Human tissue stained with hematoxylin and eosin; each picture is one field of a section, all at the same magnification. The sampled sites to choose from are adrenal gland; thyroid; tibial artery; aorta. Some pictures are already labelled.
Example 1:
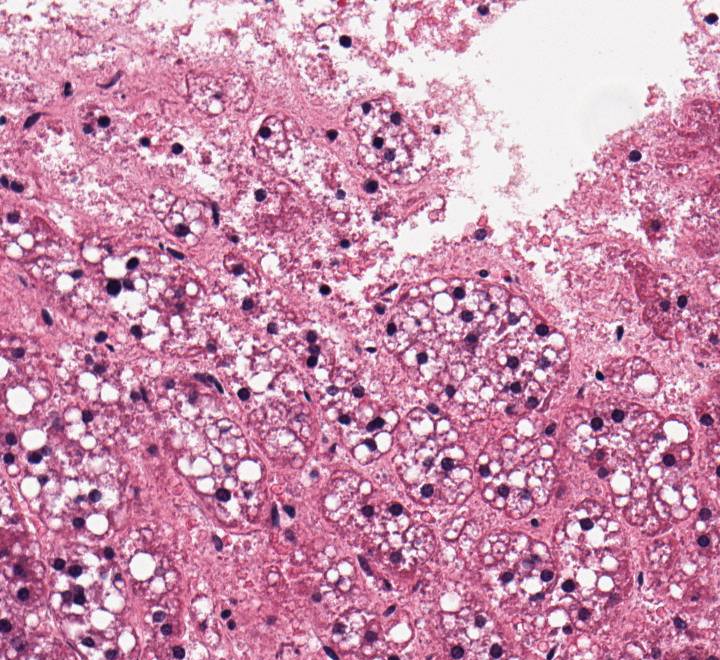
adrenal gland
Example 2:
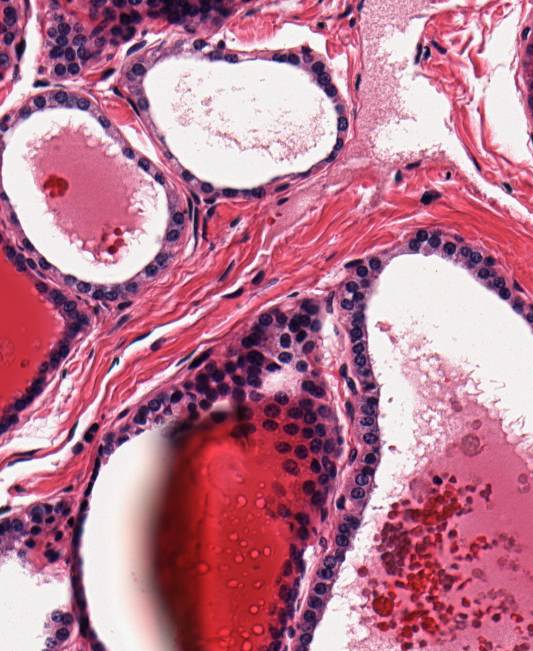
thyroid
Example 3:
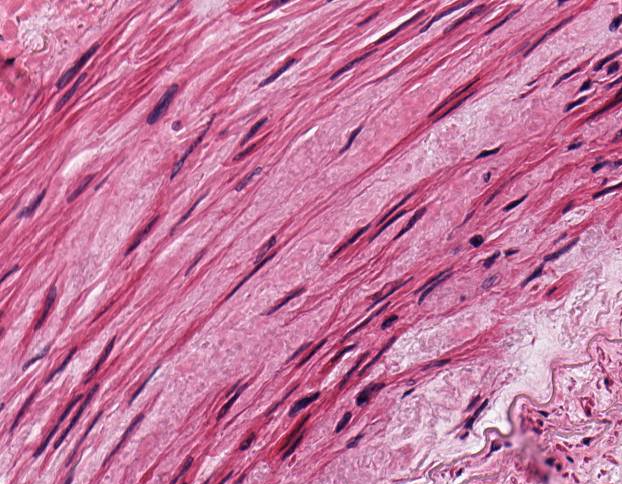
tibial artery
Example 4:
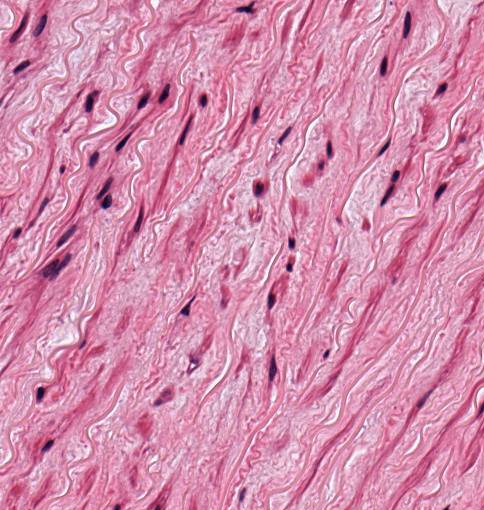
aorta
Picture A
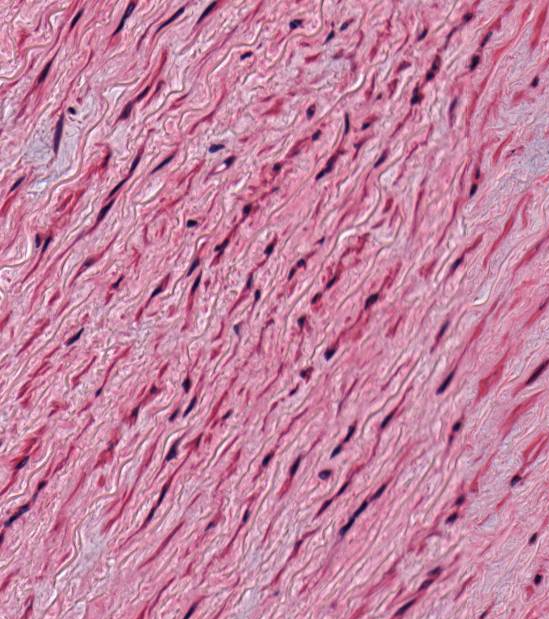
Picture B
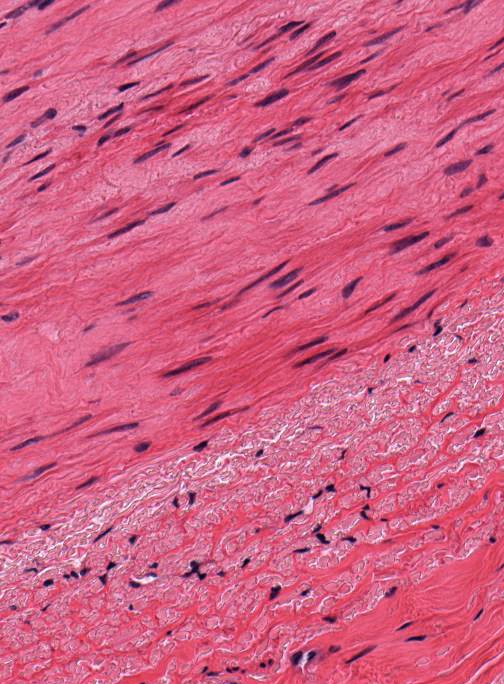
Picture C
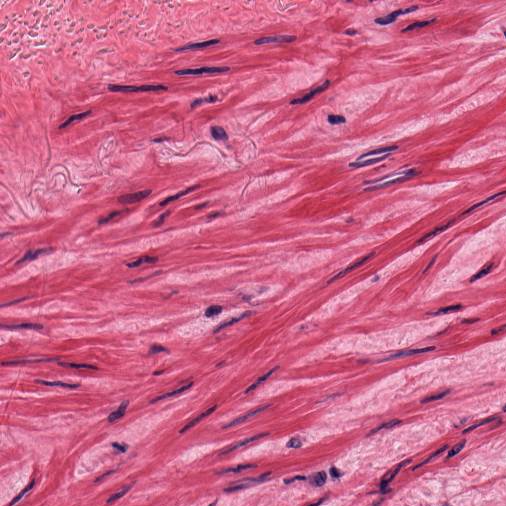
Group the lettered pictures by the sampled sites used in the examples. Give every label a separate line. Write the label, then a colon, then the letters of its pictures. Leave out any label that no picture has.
tibial artery: B, C
aorta: A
